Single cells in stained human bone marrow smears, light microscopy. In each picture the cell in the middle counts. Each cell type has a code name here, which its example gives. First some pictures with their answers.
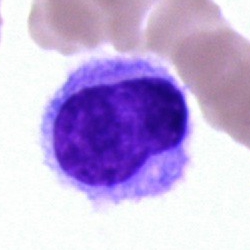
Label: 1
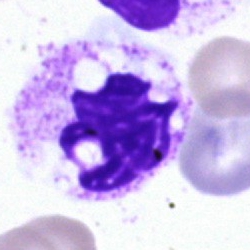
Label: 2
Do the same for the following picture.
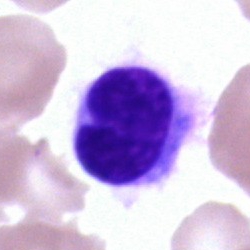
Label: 1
